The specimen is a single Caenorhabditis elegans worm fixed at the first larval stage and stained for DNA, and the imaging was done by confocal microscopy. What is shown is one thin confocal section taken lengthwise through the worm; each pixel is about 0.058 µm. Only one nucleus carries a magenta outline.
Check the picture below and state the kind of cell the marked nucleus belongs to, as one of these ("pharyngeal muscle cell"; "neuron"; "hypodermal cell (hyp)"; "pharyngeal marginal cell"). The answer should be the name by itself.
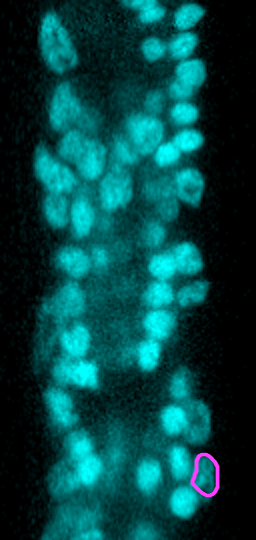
hypodermal cell (hyp)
